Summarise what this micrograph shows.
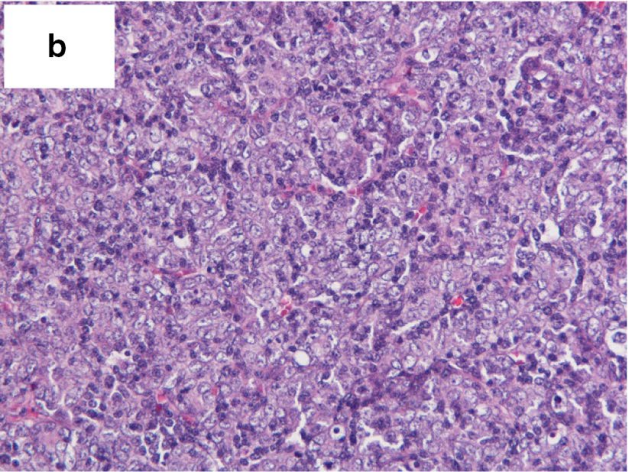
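Lymphocyte-rich tumor tissue with a diffuse sheet of polygonal neoplastic cells having pale pink cytoplasm and round vesicular nuclei with small nucleoli. Small dark round lymphocytes are scattered between the tumor cells.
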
